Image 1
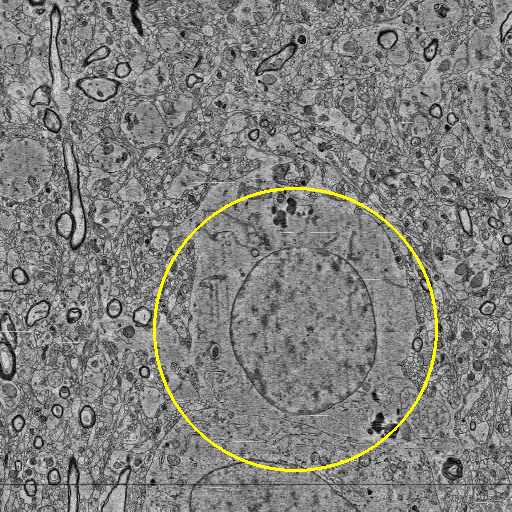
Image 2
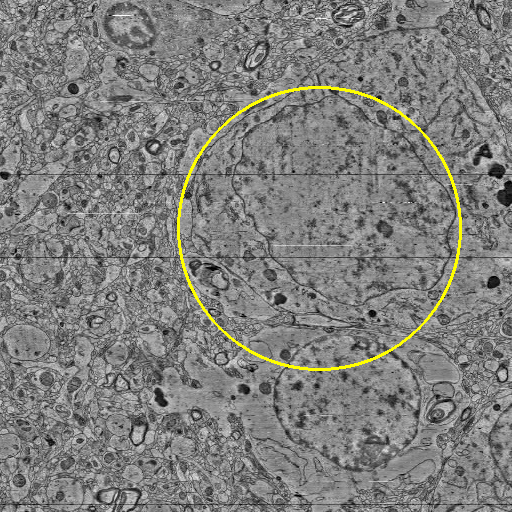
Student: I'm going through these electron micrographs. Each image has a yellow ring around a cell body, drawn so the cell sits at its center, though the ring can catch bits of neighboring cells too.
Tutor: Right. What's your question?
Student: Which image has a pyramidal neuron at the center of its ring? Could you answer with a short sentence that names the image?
Image 2 shows it at the center of its ring.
